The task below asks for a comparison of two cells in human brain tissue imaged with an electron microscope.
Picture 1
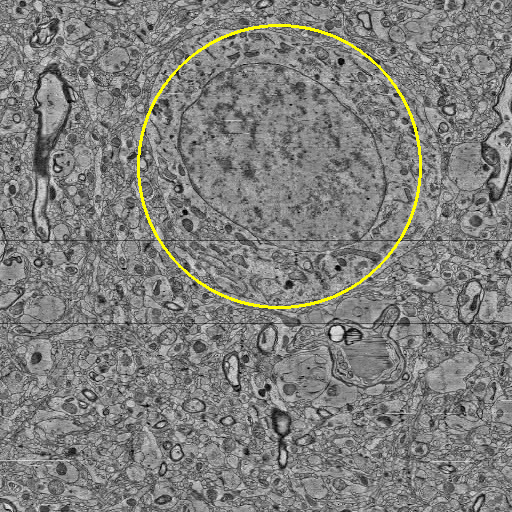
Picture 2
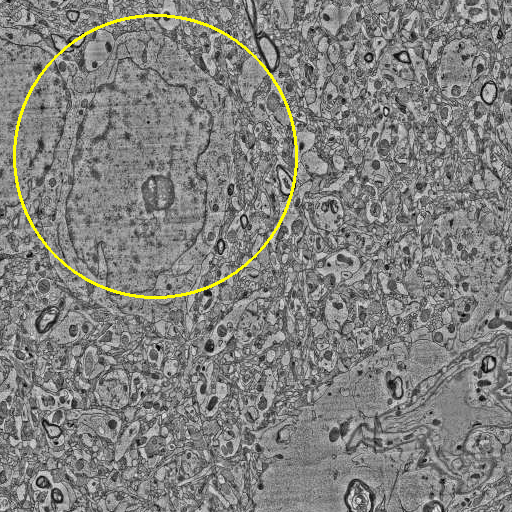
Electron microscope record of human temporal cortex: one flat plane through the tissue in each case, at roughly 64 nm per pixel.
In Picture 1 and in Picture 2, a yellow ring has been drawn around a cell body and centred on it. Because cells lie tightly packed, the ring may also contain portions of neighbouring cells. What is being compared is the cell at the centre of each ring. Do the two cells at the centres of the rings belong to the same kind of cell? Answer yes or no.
yes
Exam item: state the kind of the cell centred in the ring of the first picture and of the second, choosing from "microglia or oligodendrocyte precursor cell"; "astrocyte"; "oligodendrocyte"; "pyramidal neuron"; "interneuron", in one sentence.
The second cell is an interneuron, just as the first is.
